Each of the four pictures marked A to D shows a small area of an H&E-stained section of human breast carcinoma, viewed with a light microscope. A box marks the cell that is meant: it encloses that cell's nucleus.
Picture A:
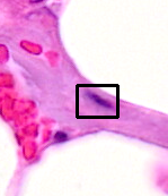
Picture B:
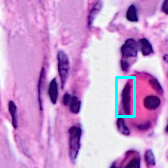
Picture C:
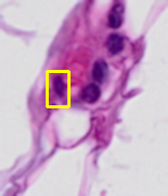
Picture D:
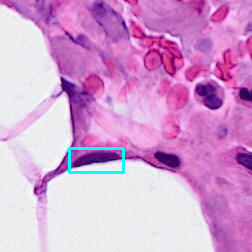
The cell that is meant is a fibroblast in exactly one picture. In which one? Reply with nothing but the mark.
A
